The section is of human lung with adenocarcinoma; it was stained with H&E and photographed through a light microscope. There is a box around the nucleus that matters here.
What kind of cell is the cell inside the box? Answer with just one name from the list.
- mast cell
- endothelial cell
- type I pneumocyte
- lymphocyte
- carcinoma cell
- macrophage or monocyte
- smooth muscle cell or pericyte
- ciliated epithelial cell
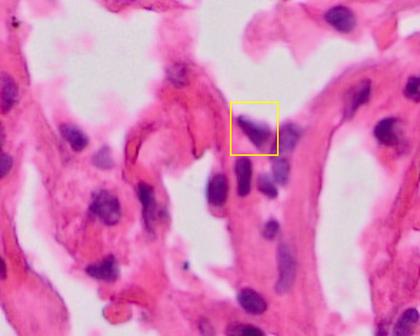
type I pneumocyte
